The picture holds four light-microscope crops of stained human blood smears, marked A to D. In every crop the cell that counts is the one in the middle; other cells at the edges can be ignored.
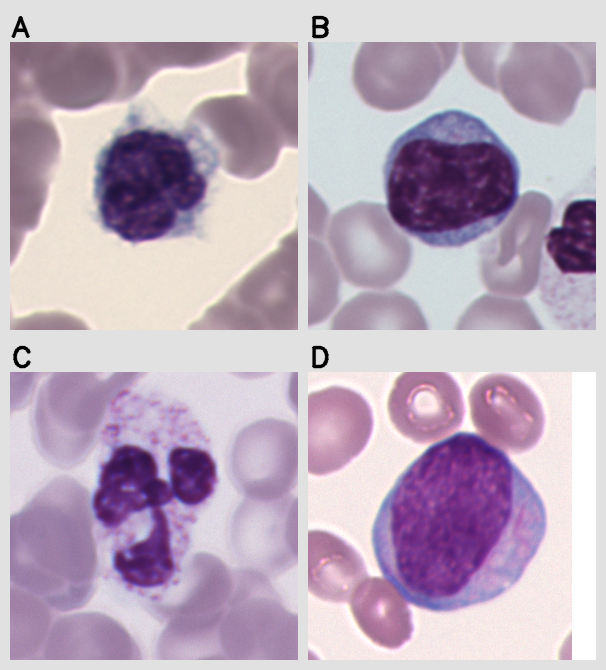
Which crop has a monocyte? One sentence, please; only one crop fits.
The requested cell, a monocyte, is the one in crop A.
